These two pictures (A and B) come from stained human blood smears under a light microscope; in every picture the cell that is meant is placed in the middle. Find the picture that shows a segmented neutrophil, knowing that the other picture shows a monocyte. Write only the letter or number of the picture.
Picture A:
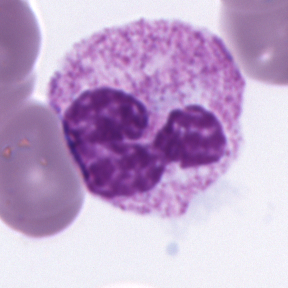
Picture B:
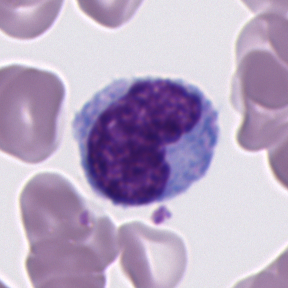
A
